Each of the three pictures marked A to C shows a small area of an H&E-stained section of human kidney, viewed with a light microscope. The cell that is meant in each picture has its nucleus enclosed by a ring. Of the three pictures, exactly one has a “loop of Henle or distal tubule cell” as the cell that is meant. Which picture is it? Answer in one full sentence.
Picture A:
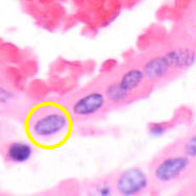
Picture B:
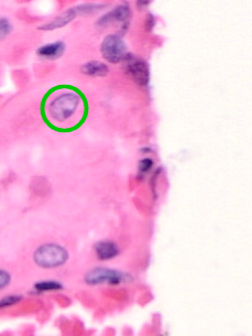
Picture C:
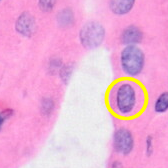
Picture C shows the “loop of Henle or distal tubule cell”.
